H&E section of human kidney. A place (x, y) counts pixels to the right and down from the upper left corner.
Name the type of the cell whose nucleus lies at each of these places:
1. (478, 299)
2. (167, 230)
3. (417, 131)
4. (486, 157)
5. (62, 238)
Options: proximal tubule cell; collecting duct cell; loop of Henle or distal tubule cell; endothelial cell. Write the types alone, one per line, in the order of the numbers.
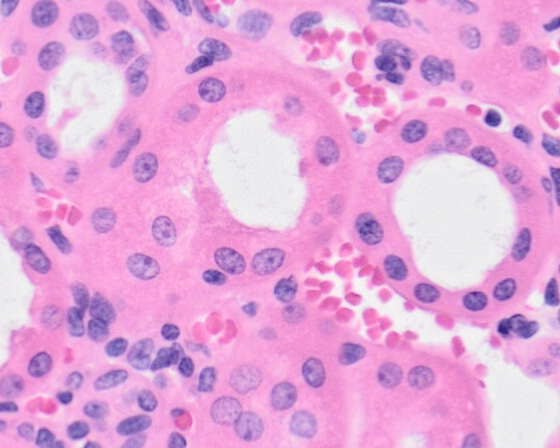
collecting duct cell
proximal tubule cell
collecting duct cell
loop of Henle or distal tubule cell
endothelial cell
